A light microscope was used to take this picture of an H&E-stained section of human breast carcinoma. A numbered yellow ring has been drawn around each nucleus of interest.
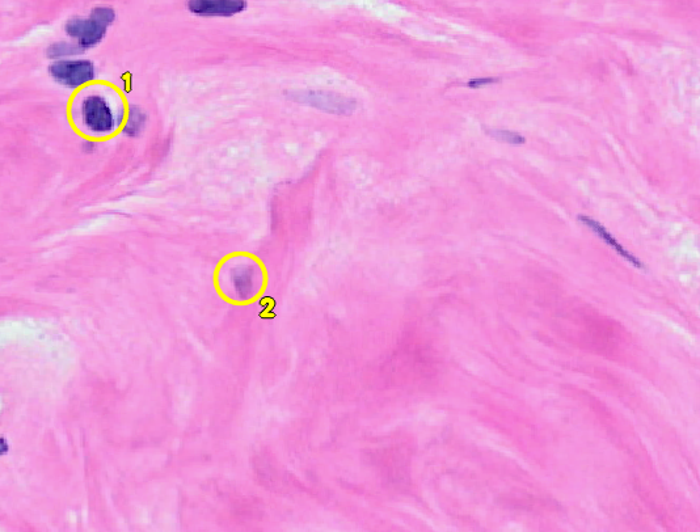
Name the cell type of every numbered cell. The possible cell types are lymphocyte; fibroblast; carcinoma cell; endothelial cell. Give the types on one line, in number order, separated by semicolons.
lymphocyte; fibroblast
